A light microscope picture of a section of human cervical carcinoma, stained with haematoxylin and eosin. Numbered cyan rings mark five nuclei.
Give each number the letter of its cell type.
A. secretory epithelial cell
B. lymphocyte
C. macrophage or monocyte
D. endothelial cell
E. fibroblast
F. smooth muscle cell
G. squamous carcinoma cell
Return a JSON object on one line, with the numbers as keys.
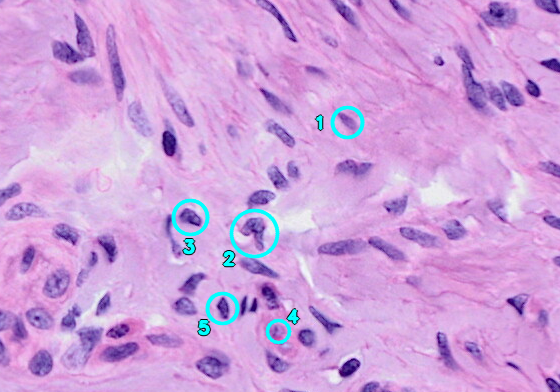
{"1": "E", "2": "C", "3": "E", "4": "D", "5": "E"}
